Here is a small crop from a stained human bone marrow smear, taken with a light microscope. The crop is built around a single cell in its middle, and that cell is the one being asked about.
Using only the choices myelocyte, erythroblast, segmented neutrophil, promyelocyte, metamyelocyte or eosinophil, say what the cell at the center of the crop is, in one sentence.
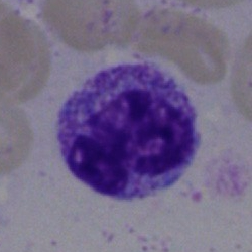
The central cell in this smear crop is a metamyelocyte.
